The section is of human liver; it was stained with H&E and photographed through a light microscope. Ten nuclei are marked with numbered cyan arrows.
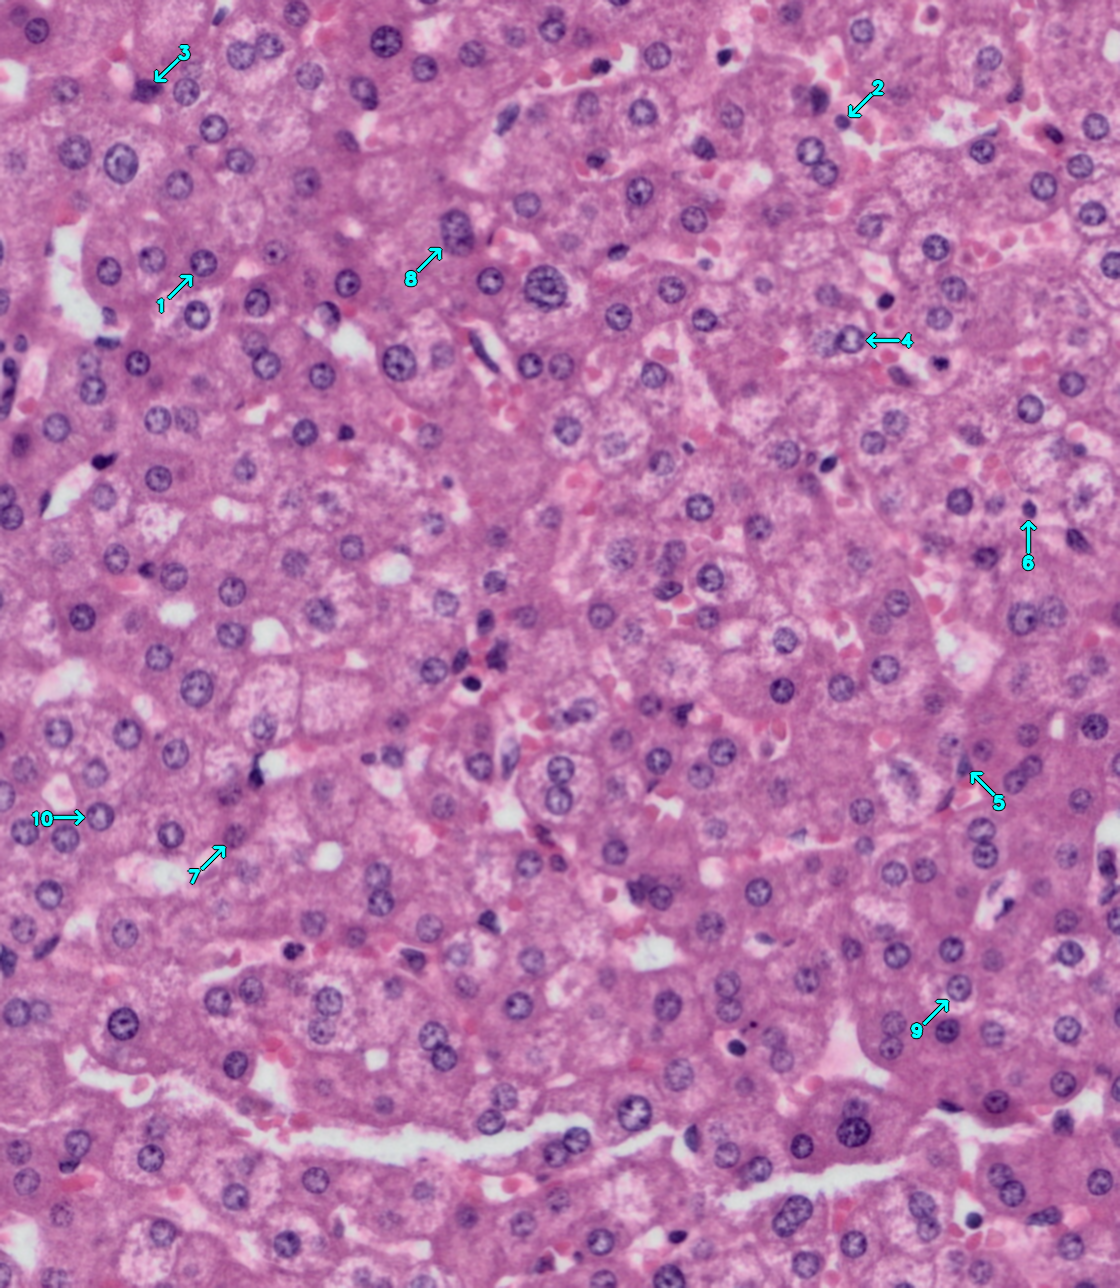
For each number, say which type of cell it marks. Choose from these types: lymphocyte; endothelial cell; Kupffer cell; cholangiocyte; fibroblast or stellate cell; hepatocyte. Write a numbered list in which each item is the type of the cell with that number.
1. hepatocyte
2. lymphocyte
3. fibroblast or stellate cell
4. hepatocyte
5. fibroblast or stellate cell
6. lymphocyte
7. hepatocyte
8. hepatocyte
9. hepatocyte
10. hepatocyte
